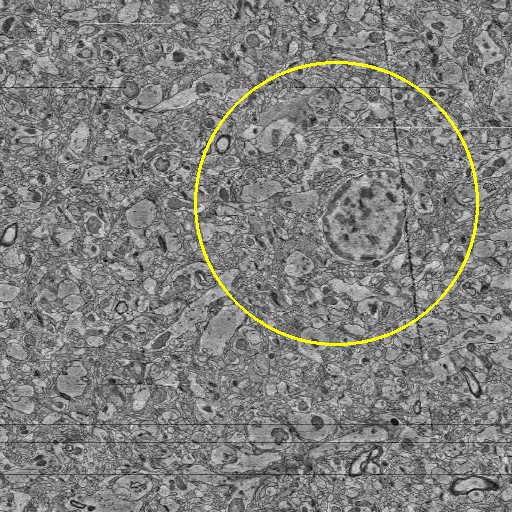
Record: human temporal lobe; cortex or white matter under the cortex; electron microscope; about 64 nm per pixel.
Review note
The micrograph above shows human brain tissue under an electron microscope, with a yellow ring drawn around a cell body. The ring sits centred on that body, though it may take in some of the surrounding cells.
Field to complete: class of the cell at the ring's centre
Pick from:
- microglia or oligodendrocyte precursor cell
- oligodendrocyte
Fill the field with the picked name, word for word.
microglia or oligodendrocyte precursor cell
